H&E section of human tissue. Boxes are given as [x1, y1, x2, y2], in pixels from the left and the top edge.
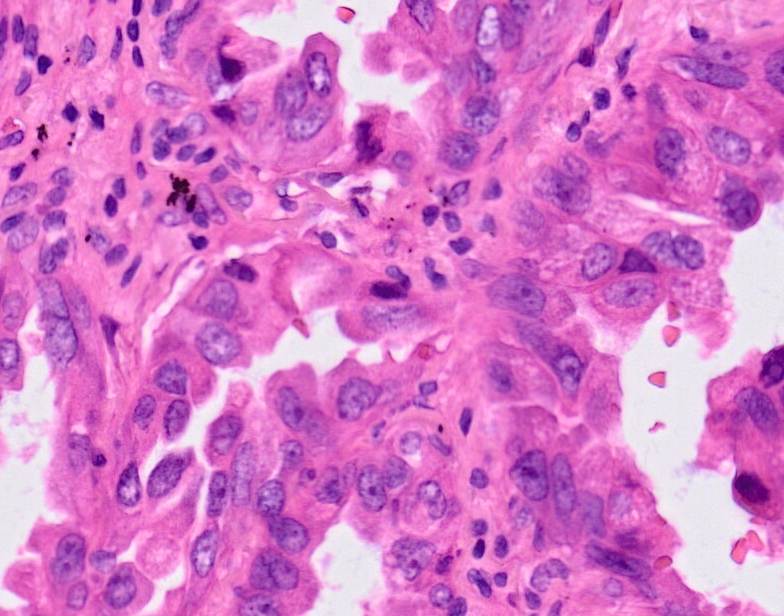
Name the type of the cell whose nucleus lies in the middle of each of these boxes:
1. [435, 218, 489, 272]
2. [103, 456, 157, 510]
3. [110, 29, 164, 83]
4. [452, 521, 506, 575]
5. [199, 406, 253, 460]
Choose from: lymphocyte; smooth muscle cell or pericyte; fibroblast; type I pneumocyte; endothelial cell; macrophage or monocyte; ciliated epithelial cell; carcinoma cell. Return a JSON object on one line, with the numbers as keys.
{"1": "lymphocyte", "2": "carcinoma cell", "3": "lymphocyte", "4": "lymphocyte", "5": "carcinoma cell"}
